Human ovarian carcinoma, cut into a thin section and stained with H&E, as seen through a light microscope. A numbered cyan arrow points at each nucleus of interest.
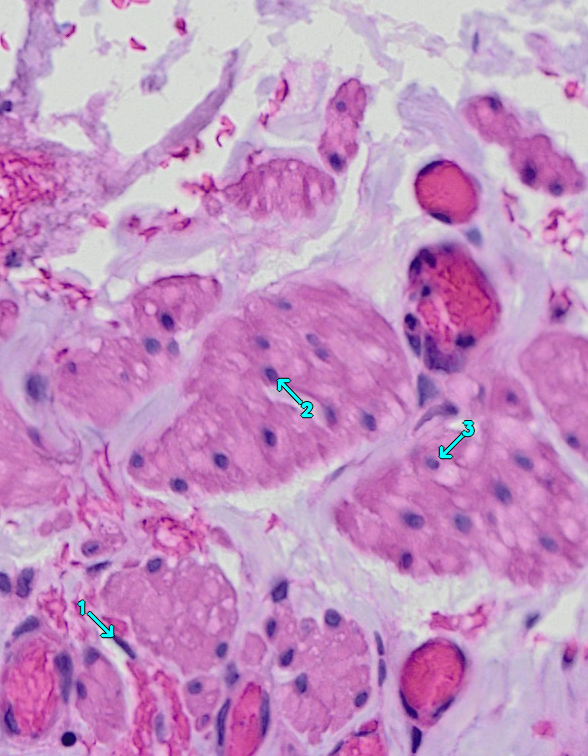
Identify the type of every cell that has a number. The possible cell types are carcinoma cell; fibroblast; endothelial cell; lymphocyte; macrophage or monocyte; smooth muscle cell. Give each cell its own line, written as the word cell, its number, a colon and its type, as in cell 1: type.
cell 1: endothelial cell
cell 2: smooth muscle cell
cell 3: smooth muscle cell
